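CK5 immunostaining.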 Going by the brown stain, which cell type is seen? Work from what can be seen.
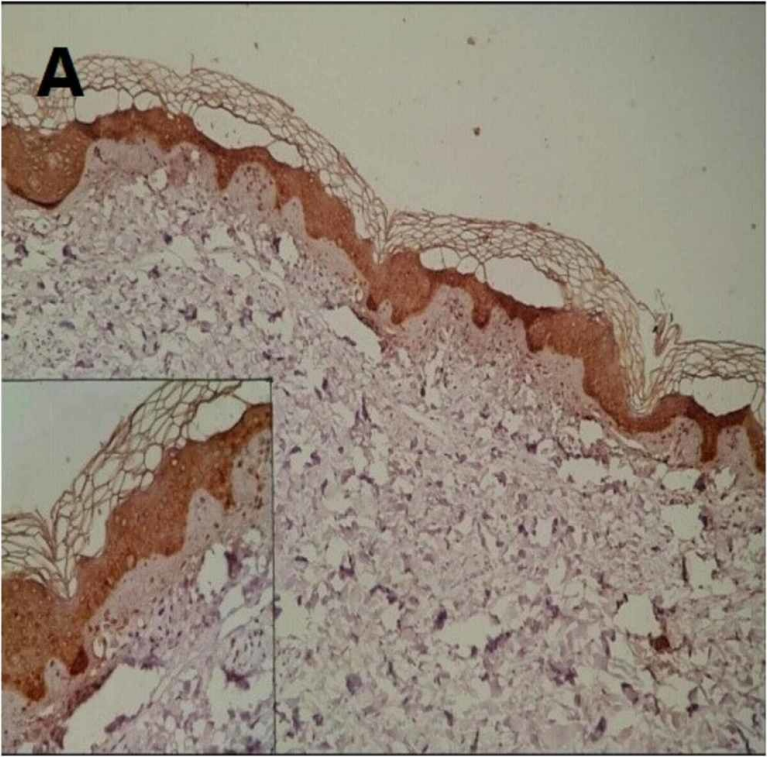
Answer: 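Keratinocytes. The brown stain fills the epithelial layer at the surface. A basket-weave cornified layer lies above the stained layer.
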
